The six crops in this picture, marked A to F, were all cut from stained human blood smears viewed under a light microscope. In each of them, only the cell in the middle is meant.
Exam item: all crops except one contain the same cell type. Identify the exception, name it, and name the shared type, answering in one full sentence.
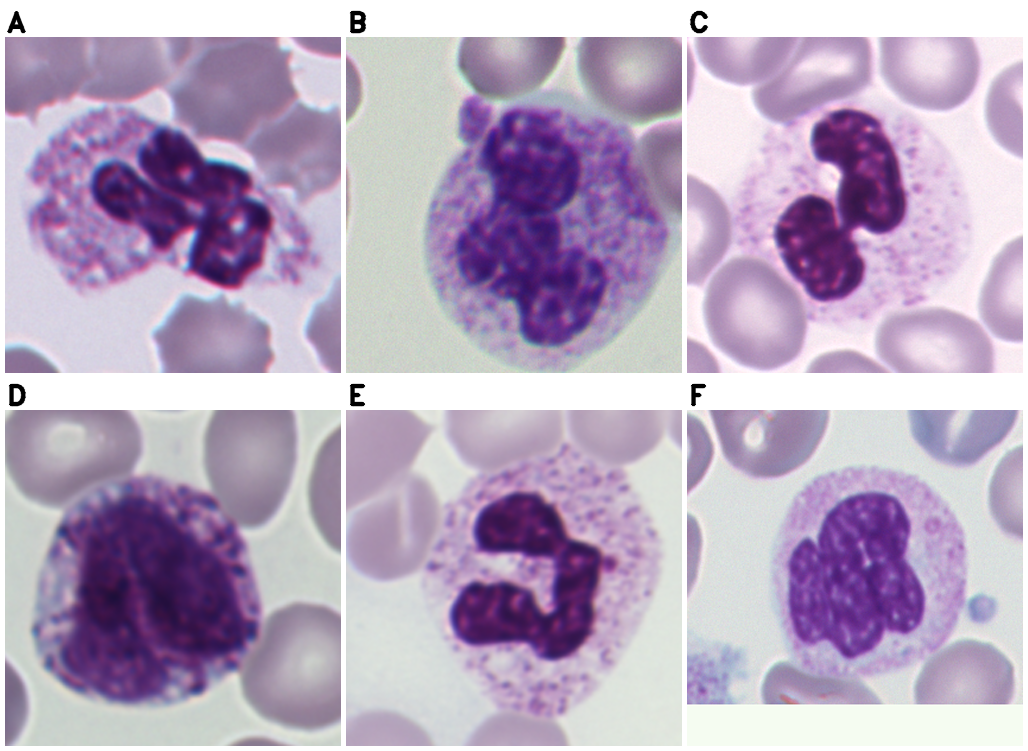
Whereas the other crops all show segmented neutrophils, crop D shows a basophil.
